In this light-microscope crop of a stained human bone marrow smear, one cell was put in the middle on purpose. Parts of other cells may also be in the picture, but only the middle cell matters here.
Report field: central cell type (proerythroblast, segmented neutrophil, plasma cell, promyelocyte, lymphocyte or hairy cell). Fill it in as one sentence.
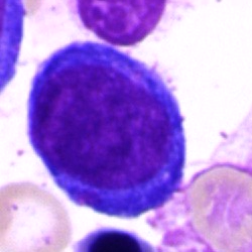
The cell in the middle of this crop is a proerythroblast.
